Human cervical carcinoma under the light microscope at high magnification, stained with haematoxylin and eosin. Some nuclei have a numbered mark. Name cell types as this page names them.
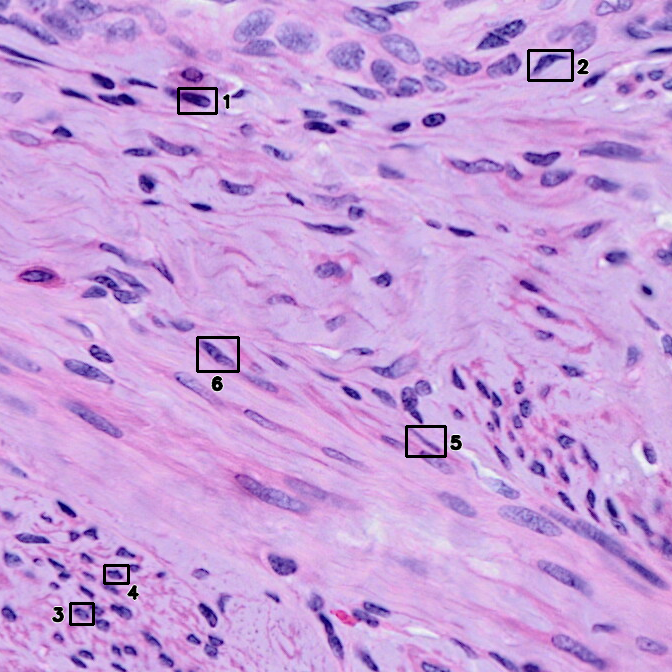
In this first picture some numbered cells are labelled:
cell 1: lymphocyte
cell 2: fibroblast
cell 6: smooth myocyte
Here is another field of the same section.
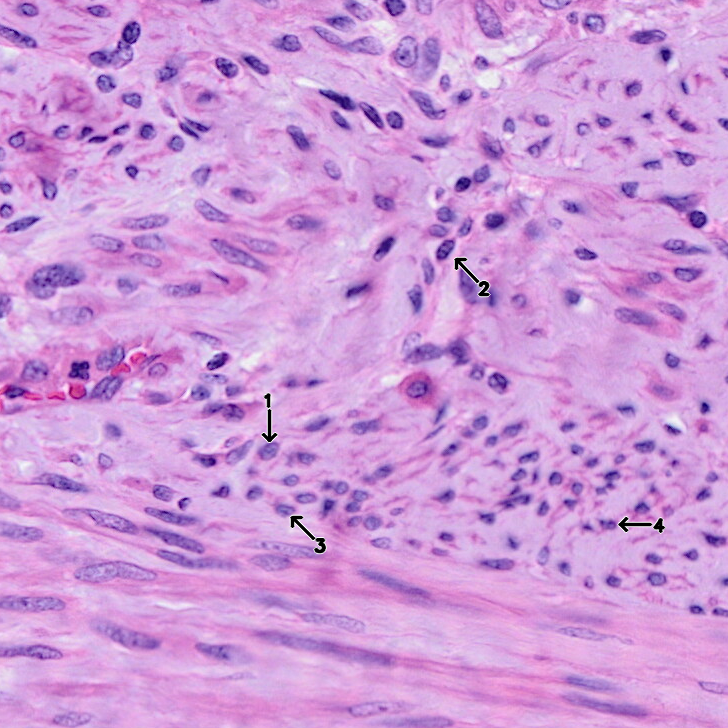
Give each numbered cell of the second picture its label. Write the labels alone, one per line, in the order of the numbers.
smooth myocyte
lymphocyte
smooth myocyte
smooth myocyte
